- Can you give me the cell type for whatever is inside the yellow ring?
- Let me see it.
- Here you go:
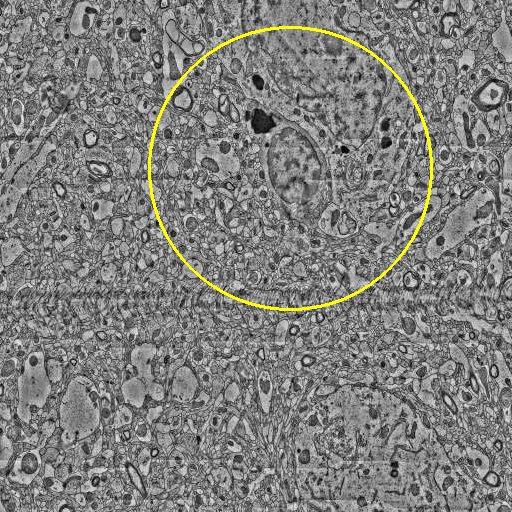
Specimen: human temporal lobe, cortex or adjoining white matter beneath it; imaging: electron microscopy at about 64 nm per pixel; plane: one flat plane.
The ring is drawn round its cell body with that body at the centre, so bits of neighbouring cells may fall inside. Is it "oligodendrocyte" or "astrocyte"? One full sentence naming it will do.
The cell body in the middle of the ring in this picture belongs to an oligodendrocyte.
